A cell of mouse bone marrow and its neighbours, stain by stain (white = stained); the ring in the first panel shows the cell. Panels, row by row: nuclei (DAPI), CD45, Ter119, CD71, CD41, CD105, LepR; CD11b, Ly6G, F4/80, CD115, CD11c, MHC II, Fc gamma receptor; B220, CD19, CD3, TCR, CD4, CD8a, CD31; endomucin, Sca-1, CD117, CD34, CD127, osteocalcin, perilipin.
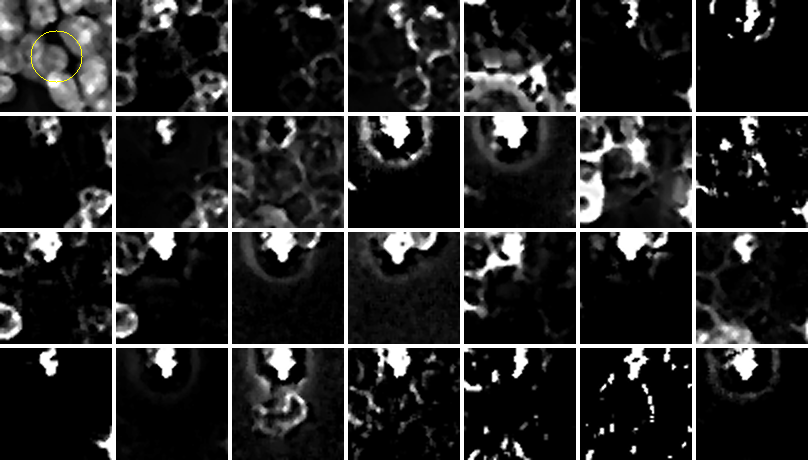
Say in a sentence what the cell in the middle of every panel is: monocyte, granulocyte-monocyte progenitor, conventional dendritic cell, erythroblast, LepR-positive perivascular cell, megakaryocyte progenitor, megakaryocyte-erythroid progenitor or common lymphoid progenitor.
This is a megakaryocyte-erythroid progenitor.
